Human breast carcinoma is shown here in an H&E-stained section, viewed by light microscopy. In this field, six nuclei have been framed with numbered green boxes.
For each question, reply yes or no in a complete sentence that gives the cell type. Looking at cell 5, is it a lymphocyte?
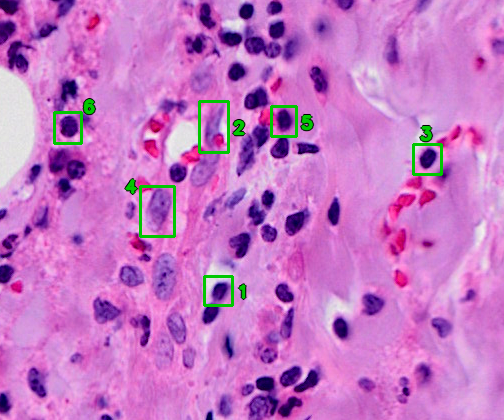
Yes, a lymphocyte is what the cell numbered 5 is.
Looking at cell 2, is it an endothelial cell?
Yes. The cell carrying number 2 is an endothelial cell.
